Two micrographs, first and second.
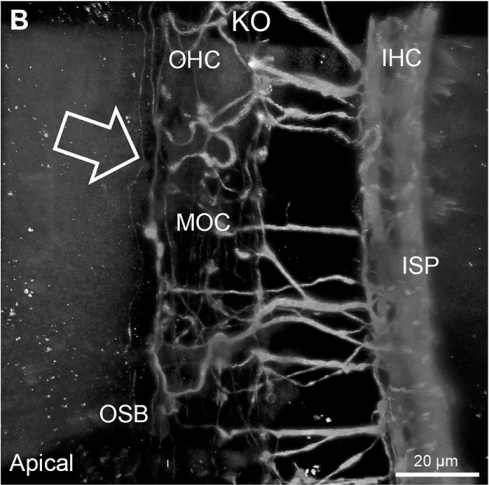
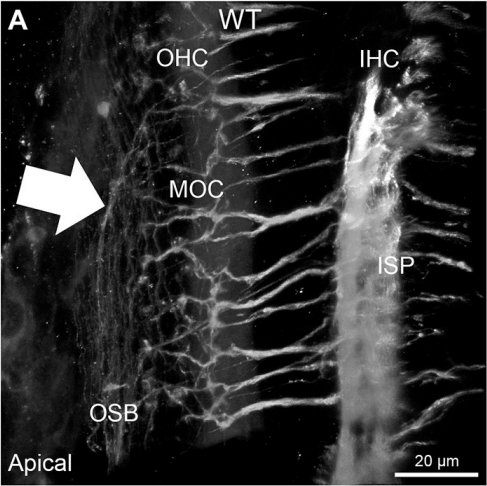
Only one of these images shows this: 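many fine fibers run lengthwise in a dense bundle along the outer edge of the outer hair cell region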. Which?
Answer: The second image.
